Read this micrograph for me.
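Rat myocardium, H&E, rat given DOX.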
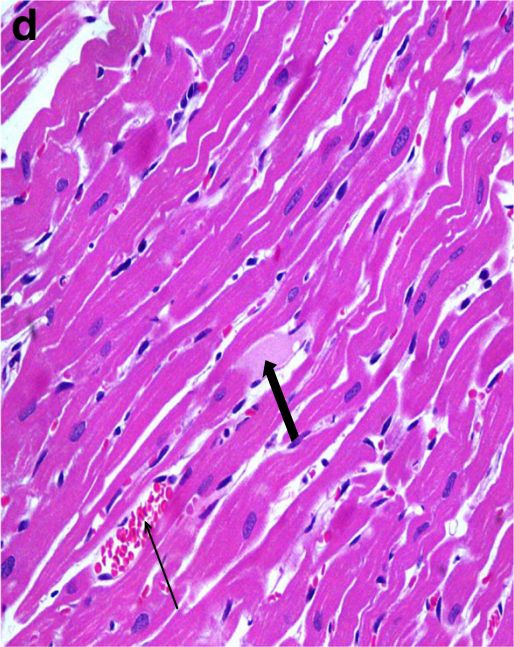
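This is heart muscle cut along its length, with long pink cardiac muscle fibers running diagonally and oval central nuclei stained purple. Between two fibers lies a vessel packed with red blood cells, and nearby one fiber contains a pale, smooth, glassy pink patch that lacks the usual texture. Slender dark nuclei of interstitial cells lie in the narrow spaces between the fibers.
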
